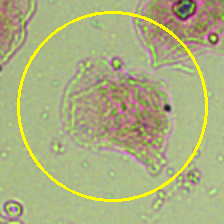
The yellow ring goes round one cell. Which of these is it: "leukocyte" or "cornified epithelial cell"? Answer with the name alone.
cornified epithelial cell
